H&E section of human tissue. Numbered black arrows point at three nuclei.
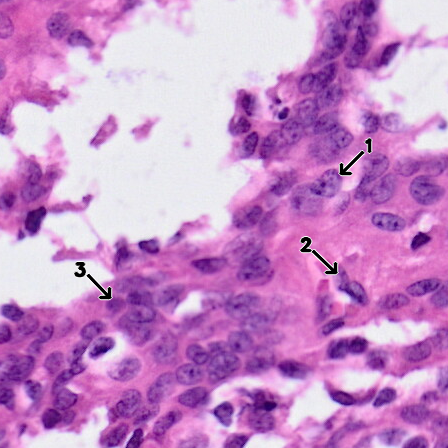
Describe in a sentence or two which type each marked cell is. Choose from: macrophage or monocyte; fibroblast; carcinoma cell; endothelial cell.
Cell 1 is a macrophage or monocyte. Cell 2 is an endothelial cell. Cell 3 is a carcinoma cell.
